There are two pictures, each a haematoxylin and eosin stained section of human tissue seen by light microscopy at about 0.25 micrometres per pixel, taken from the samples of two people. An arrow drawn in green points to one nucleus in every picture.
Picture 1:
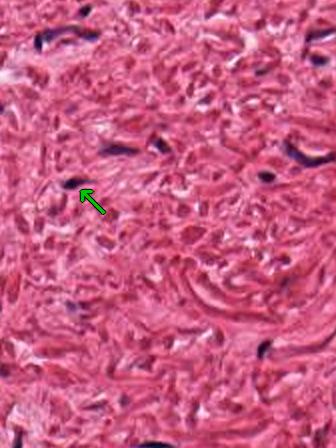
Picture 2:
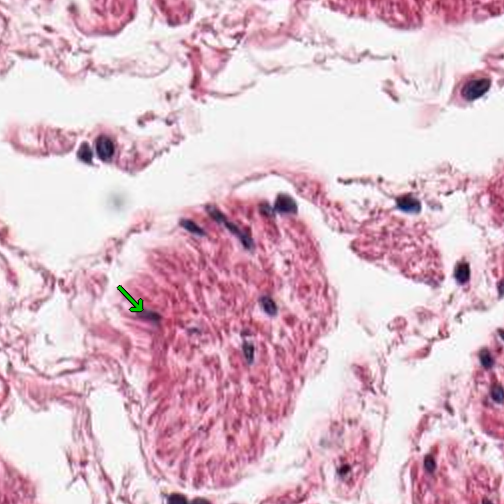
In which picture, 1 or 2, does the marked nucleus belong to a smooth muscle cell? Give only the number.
2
